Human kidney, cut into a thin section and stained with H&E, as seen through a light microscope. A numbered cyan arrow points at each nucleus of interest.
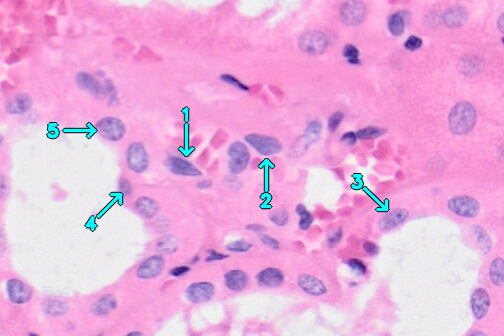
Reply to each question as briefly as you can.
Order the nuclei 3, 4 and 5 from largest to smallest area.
5, 3, 4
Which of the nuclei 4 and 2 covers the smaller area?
4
